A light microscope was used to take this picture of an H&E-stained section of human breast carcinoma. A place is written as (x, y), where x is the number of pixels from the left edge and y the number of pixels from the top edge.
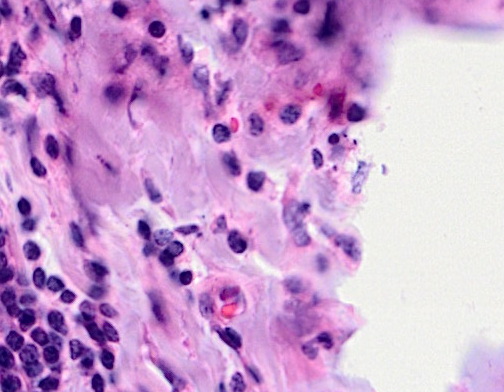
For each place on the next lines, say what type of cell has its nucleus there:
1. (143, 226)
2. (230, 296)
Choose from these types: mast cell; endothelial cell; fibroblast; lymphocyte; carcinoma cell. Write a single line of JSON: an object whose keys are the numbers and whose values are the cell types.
{"1": "lymphocyte", "2": "endothelial cell"}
